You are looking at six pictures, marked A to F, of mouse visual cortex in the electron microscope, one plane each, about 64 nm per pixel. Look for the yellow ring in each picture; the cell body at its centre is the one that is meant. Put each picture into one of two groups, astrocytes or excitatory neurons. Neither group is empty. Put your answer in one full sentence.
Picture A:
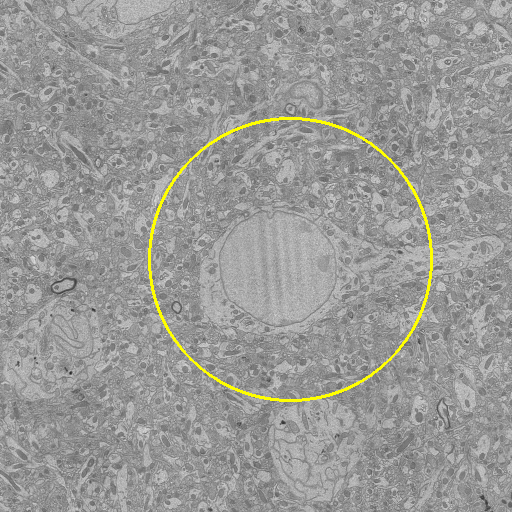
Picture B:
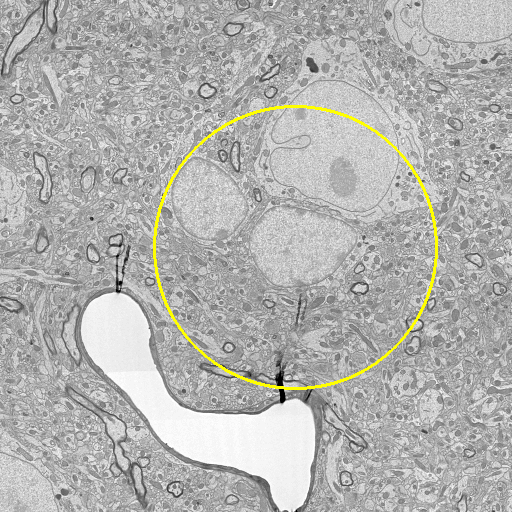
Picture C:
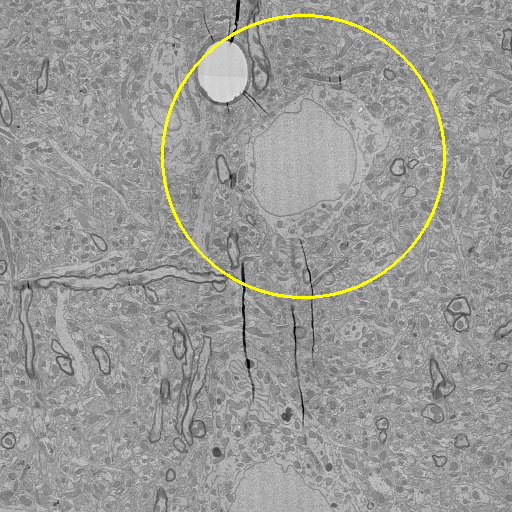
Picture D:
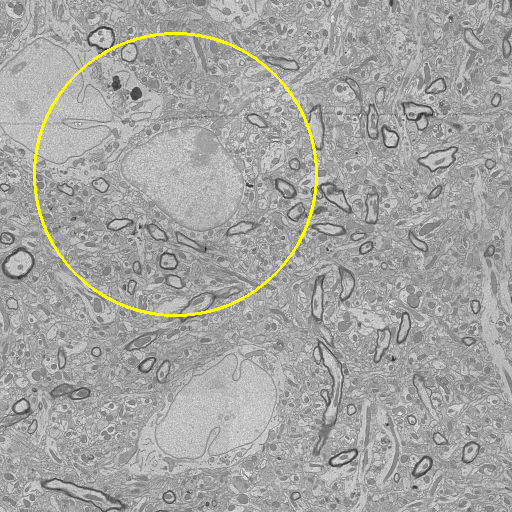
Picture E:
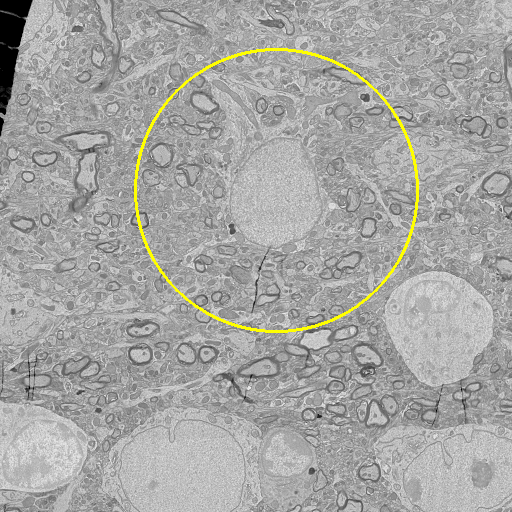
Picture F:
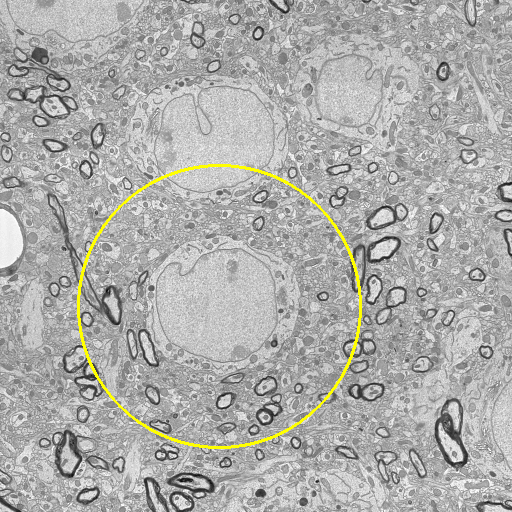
Pictures B, D and E show astrocytes, and pictures A, C and F show excitatory neurons.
